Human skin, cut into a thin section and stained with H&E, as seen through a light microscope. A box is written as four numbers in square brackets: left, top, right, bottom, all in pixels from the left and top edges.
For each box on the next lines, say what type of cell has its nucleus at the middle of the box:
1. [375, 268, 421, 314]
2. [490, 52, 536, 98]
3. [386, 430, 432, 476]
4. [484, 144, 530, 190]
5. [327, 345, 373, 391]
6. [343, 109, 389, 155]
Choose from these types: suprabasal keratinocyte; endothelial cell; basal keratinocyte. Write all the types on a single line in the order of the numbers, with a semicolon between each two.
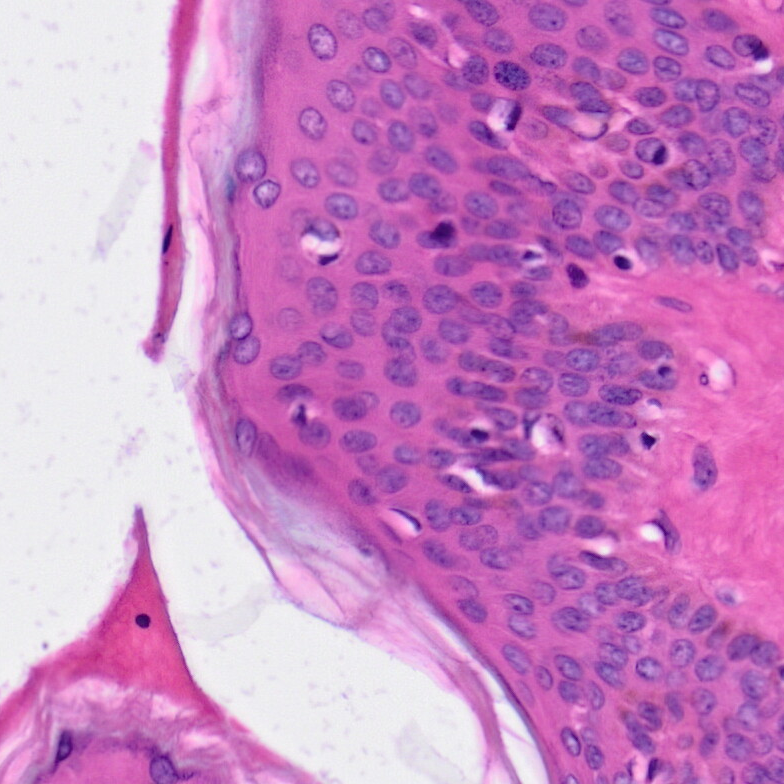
suprabasal keratinocyte; basal keratinocyte; suprabasal keratinocyte; basal keratinocyte; suprabasal keratinocyte; suprabasal keratinocyte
